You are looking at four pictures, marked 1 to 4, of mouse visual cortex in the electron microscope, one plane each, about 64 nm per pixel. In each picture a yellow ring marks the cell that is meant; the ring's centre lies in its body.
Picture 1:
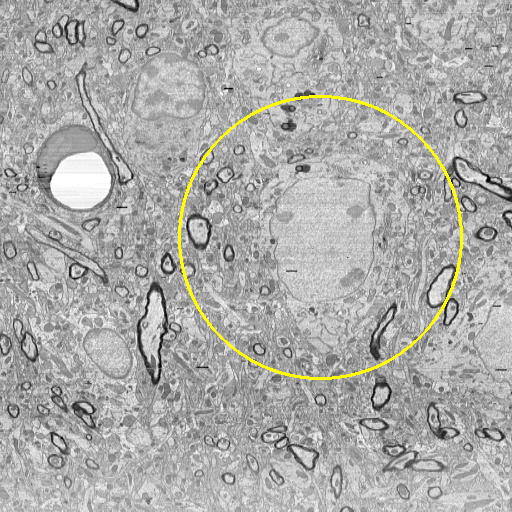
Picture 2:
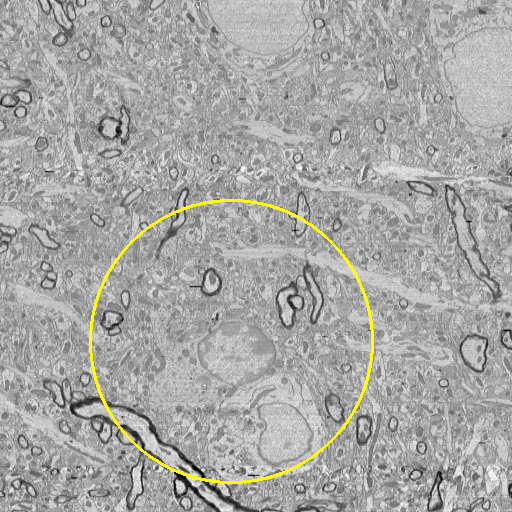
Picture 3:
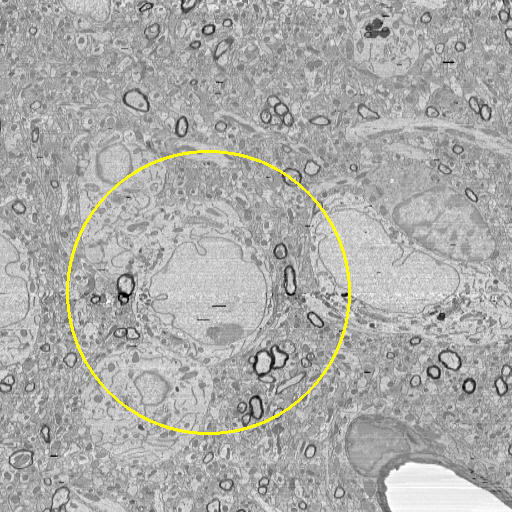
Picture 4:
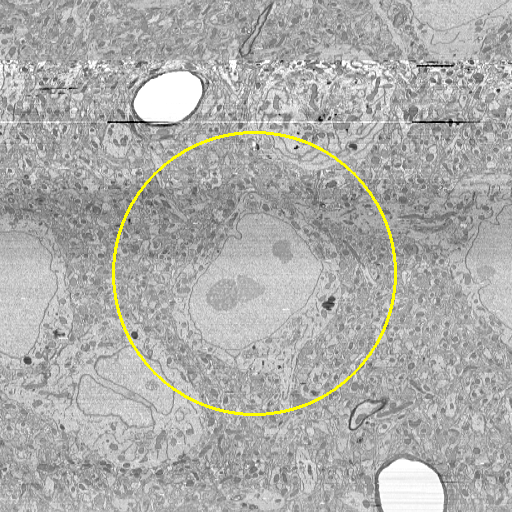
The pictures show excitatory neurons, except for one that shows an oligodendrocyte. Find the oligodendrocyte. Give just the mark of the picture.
2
